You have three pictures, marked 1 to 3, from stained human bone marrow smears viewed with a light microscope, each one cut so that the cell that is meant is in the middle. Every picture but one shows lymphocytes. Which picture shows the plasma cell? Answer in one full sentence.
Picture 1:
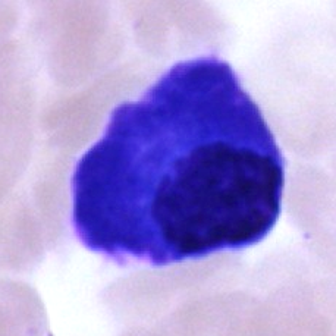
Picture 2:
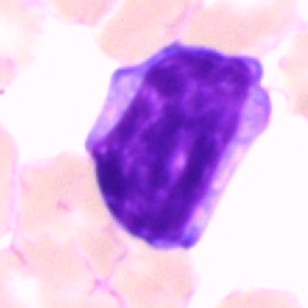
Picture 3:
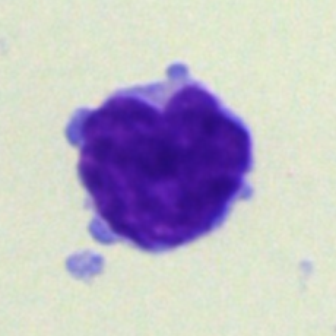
It is picture 1 that shows the plasma cell.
